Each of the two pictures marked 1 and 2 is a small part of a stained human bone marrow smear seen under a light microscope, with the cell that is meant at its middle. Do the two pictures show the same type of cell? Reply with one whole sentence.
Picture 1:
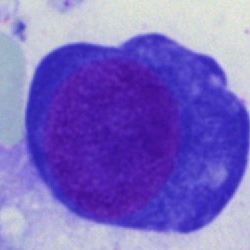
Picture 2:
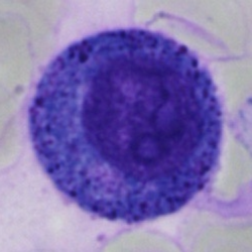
Yes, both are proerythroblasts.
